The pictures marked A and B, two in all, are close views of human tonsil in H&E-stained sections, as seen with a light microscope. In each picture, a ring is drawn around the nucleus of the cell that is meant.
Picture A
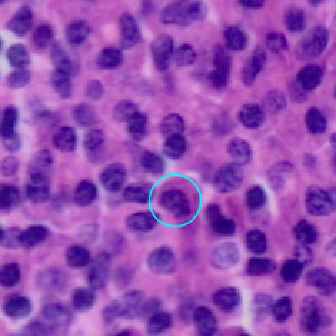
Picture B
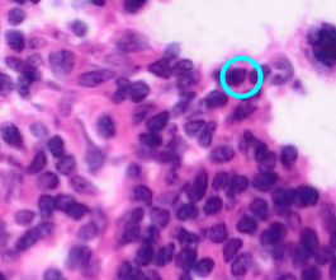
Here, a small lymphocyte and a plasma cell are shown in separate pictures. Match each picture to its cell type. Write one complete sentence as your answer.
The cell in picture A is a plasma cell, and the one in picture B is a small lymphocyte.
